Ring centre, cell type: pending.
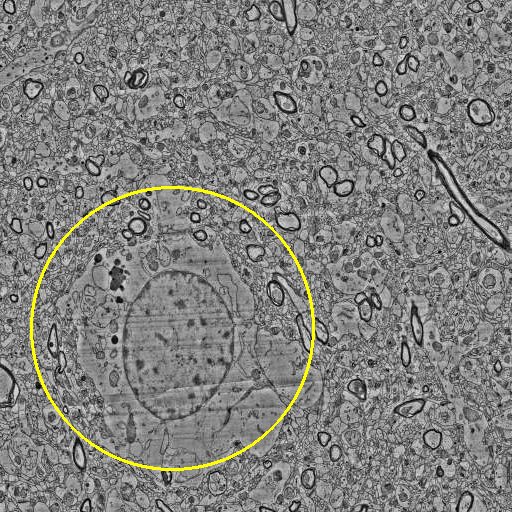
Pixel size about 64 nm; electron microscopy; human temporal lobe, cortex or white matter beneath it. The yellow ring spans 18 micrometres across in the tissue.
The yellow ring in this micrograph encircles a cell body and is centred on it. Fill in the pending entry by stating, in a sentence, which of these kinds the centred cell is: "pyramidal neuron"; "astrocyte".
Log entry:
The centred cell is recorded as an astrocyte.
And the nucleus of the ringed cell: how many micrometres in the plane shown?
The nucleus is approximately 10 micrometers long by 7 micrometers wide in this plane.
